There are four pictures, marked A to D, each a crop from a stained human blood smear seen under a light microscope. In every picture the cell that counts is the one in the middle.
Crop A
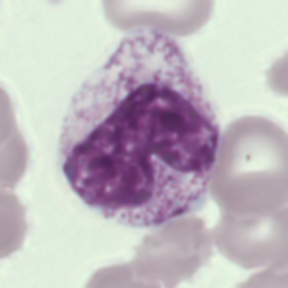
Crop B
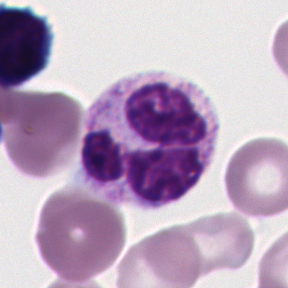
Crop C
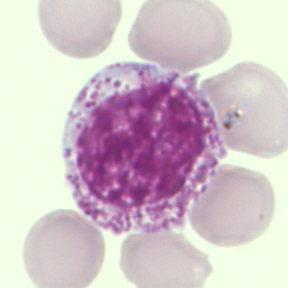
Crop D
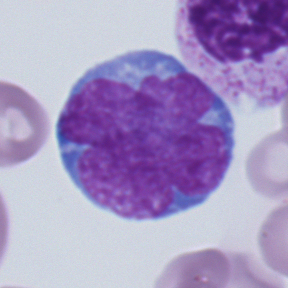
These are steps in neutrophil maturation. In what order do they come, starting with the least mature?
D, C, A, B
